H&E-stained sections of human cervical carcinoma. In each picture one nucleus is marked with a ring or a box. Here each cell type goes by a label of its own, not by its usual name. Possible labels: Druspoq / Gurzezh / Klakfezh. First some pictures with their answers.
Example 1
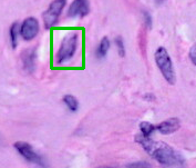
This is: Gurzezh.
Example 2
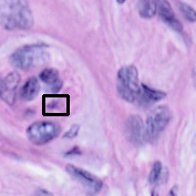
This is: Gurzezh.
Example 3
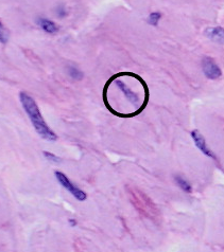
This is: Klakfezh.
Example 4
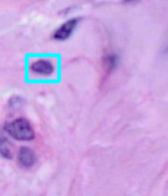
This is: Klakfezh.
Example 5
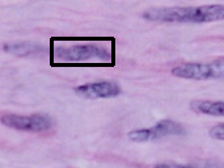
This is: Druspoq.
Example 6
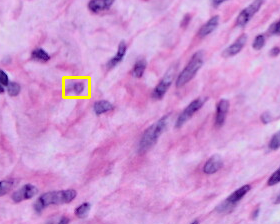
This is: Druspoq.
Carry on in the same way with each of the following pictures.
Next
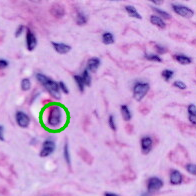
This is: Gurzezh.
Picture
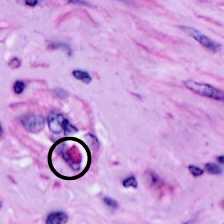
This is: Gurzezh.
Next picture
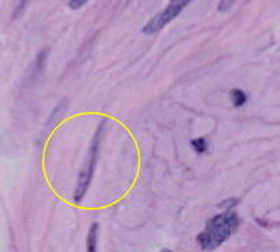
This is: Klakfezh.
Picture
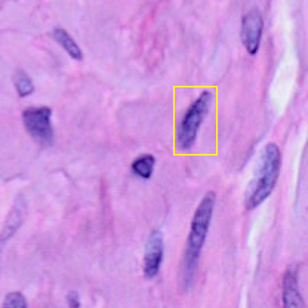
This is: Klakfezh.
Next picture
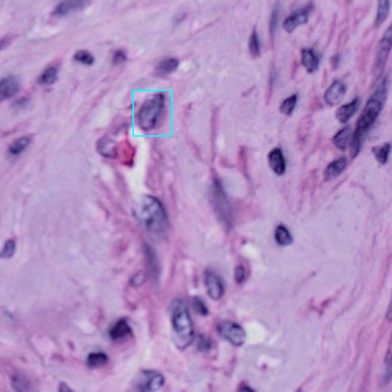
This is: Gurzezh.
